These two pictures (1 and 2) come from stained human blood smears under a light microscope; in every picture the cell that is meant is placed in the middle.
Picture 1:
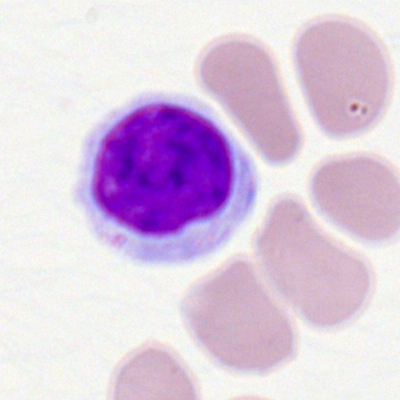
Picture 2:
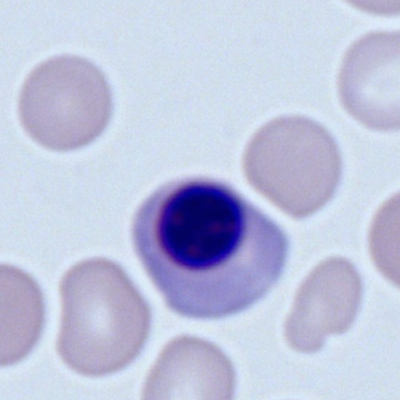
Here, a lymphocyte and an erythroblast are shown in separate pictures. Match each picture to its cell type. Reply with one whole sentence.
Picture 2 shows an erythroblast, while picture 1 shows a lymphocyte.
